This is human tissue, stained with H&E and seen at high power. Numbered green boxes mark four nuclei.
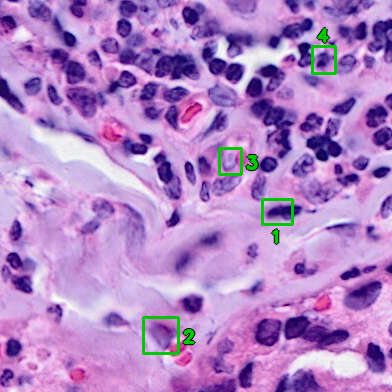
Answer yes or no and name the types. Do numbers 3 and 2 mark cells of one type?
Yes, it is true that cells 3 and 2 are both endothelial cells.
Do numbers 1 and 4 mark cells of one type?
Yes, the two numbered cells 1 and 4 are both lymphocytes.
